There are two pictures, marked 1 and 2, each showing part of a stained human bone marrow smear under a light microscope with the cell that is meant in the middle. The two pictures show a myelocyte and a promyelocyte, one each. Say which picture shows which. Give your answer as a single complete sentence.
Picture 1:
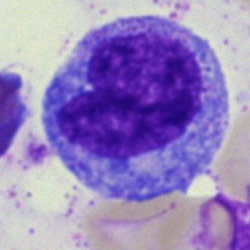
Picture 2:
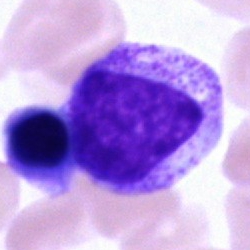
Picture 1 is of a promyelocyte, and picture 2 is of a myelocyte.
